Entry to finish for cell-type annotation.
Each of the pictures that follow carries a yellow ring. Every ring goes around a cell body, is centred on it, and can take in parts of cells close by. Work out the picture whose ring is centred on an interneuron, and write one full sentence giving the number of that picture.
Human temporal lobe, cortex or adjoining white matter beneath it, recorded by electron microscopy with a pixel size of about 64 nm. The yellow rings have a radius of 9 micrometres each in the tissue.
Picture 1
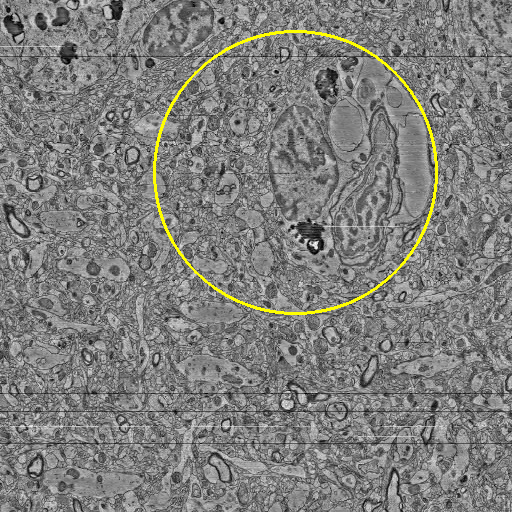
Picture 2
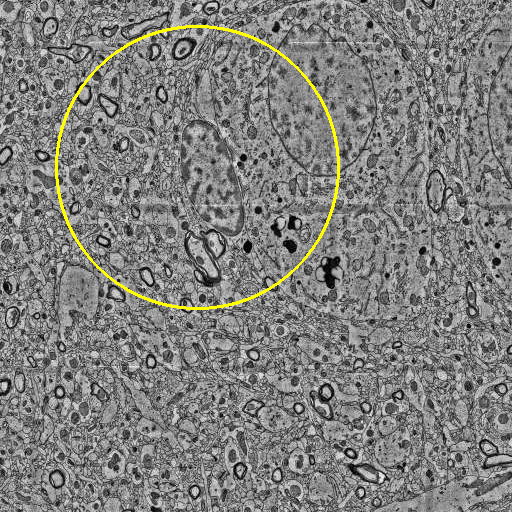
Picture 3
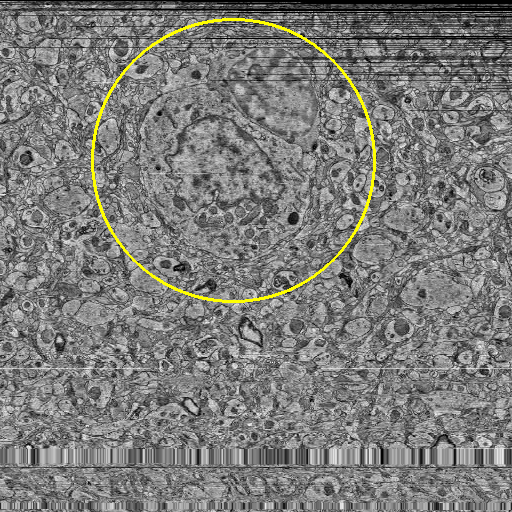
The cell at the heart of the ring in picture 3 matches the request.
